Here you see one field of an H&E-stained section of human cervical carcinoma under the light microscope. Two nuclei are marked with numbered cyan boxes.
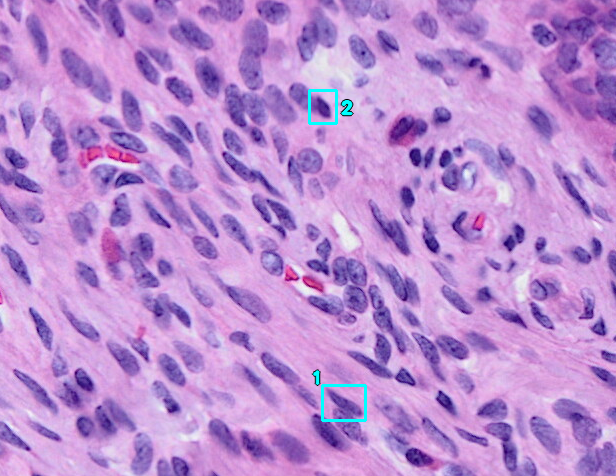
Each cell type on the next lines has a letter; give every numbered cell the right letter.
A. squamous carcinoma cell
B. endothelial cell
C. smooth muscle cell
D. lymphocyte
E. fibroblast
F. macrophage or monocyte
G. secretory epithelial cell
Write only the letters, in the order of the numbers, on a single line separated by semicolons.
E; D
